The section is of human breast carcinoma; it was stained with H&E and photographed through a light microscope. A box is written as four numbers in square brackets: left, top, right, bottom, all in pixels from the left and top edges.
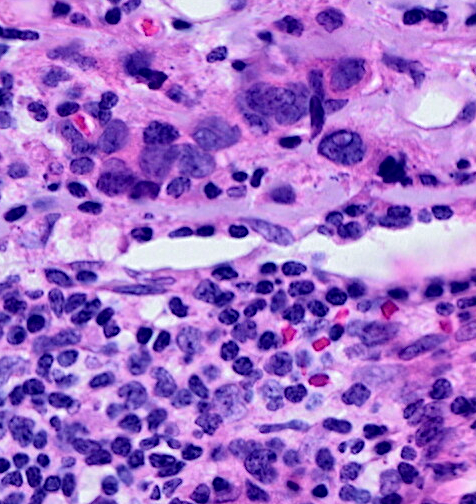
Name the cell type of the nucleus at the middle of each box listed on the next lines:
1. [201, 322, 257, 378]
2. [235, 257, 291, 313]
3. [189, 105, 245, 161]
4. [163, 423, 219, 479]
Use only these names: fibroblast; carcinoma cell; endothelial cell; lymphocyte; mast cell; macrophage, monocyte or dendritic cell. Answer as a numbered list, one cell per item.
1. lymphocyte
2. lymphocyte
3. carcinoma cell
4. lymphocyte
